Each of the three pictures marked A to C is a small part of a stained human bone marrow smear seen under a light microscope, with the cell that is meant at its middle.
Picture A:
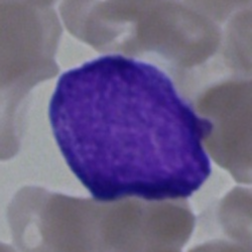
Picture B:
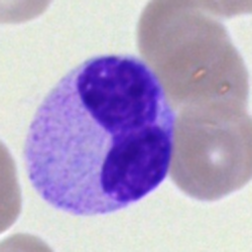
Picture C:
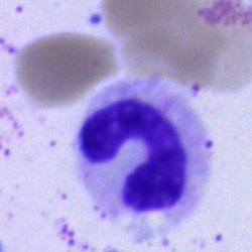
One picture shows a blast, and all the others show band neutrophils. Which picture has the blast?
A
